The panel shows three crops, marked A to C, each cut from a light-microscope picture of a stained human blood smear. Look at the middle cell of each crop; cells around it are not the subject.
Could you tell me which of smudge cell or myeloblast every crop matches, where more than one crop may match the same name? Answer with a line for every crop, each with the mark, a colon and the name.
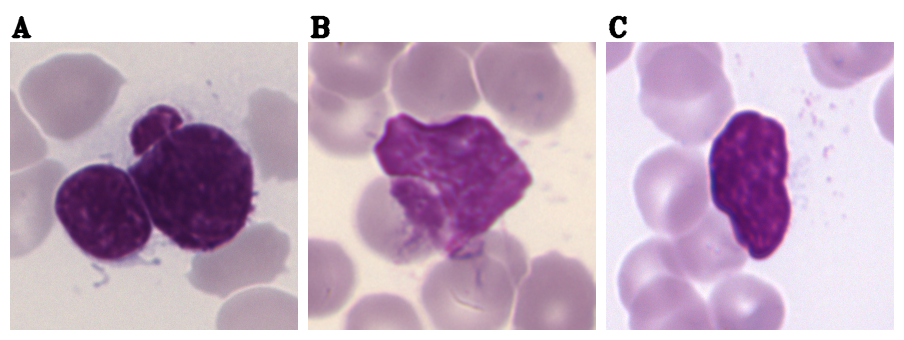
A: myeloblast
B: smudge cell
C: smudge cell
